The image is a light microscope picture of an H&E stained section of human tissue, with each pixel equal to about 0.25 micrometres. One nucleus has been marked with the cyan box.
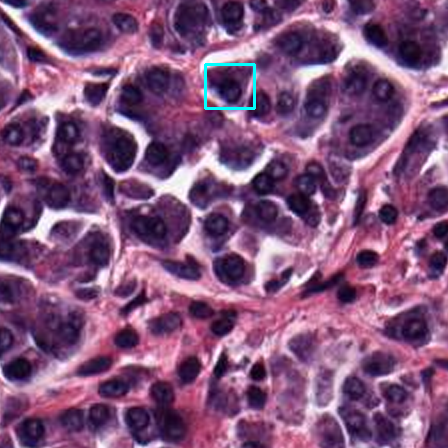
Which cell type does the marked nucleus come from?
pancreatic acinar cell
